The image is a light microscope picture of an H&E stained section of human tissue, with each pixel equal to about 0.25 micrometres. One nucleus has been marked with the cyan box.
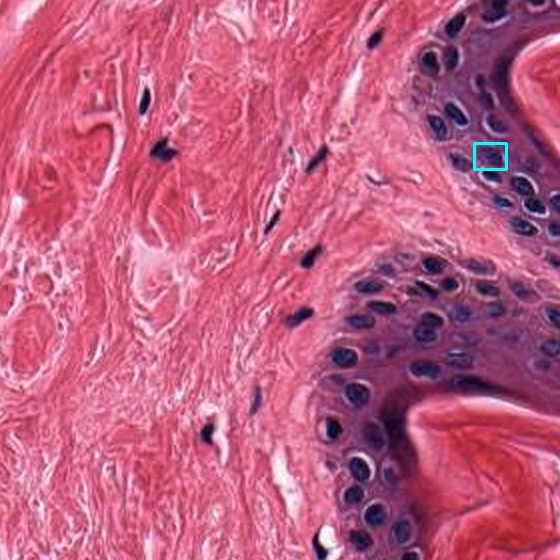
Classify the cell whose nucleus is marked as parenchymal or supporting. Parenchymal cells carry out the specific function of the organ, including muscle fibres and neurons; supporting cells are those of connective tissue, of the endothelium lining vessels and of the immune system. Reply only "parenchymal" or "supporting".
parenchymal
